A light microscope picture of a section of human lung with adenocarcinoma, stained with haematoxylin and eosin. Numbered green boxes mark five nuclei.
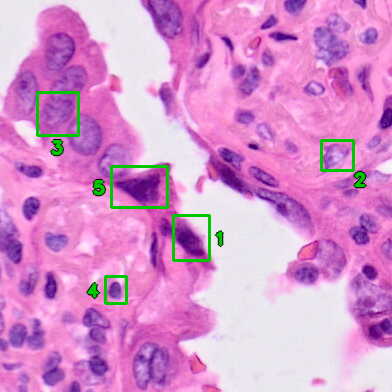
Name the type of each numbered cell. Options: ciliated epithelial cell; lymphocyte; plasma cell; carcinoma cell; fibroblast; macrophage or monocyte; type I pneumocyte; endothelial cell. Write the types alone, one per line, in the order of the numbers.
carcinoma cell
fibroblast
carcinoma cell
lymphocyte
carcinoma cell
